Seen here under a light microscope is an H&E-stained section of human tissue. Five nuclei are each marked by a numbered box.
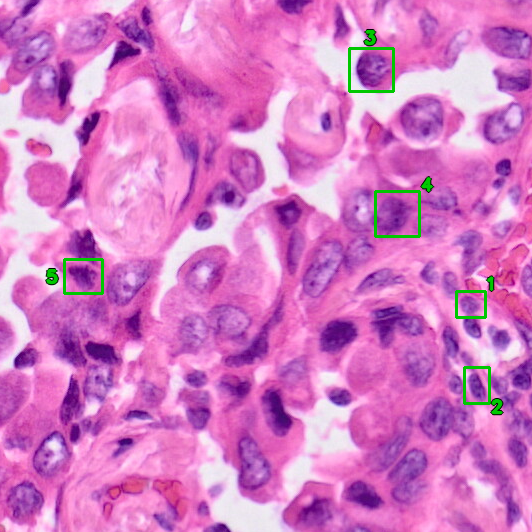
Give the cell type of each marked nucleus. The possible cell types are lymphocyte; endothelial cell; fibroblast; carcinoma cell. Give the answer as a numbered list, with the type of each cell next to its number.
1. lymphocyte
2. lymphocyte
3. carcinoma cell
4. carcinoma cell
5. carcinoma cell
